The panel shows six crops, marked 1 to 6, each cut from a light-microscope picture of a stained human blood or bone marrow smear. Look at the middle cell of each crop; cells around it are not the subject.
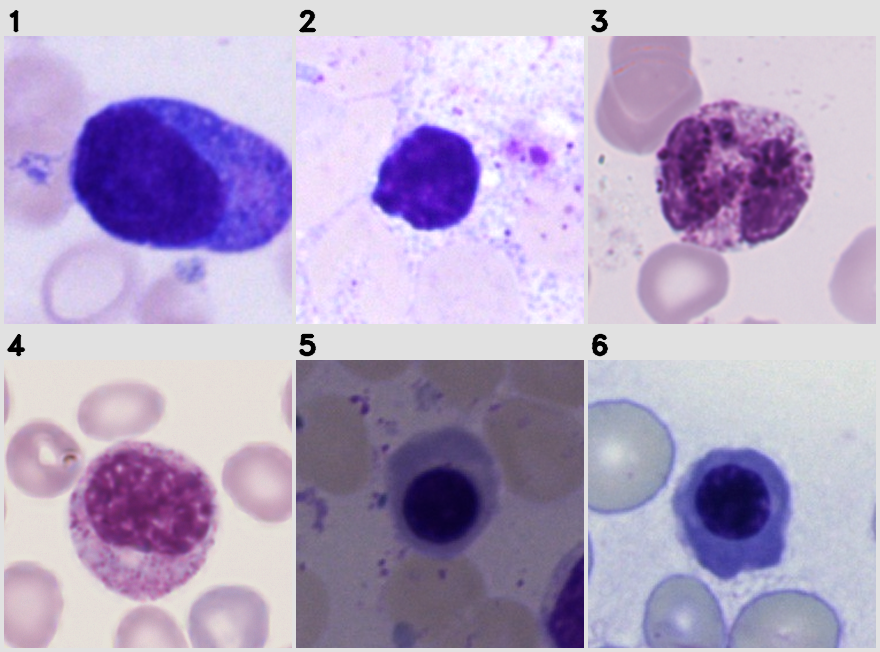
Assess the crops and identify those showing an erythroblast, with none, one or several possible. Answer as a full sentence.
The crops labelled 5 and 6 show erythroblasts at the centre.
